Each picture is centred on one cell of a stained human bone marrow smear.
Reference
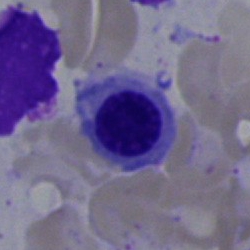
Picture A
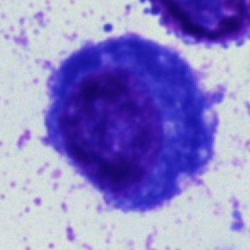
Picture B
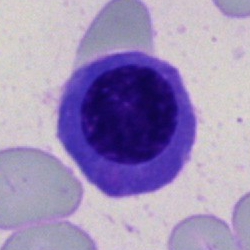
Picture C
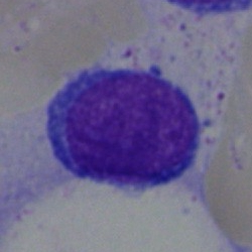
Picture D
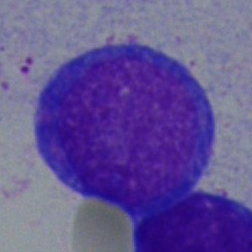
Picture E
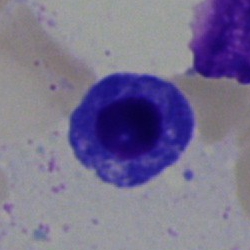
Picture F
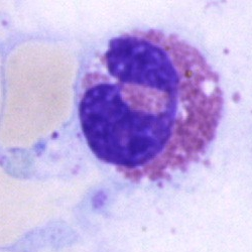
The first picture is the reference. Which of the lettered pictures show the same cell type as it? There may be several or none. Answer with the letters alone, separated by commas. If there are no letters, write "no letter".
B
